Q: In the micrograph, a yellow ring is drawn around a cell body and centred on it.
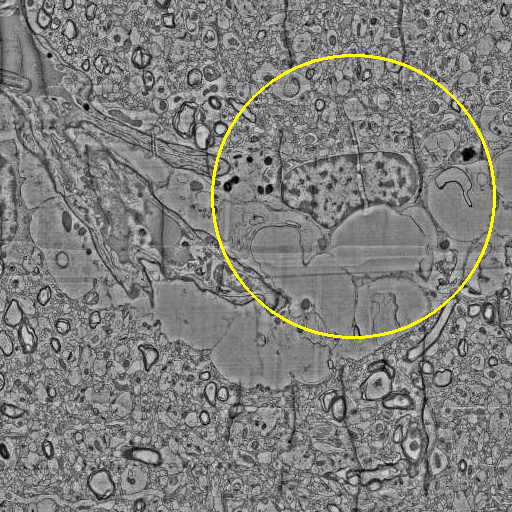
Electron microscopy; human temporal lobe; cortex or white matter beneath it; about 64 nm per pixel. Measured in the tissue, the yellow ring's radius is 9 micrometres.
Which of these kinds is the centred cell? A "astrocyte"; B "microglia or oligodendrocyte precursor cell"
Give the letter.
B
